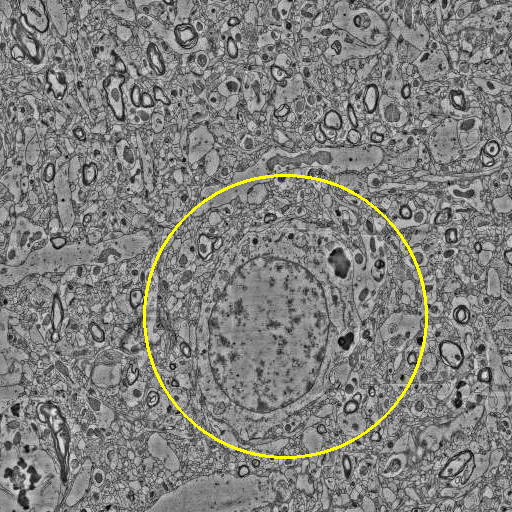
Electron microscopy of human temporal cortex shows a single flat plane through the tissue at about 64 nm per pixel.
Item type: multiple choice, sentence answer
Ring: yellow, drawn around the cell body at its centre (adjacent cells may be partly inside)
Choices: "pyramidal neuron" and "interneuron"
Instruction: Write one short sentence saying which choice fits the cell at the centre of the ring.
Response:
This ring is drawn around a pyramidal neuron.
